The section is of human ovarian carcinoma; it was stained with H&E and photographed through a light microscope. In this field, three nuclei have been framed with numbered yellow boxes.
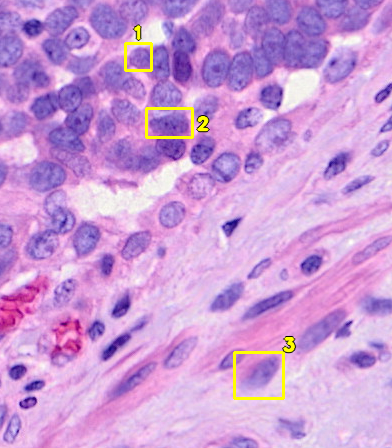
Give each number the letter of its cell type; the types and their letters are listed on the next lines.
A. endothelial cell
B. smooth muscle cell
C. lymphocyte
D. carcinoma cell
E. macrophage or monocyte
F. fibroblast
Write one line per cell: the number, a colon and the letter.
1: D
2: D
3: B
